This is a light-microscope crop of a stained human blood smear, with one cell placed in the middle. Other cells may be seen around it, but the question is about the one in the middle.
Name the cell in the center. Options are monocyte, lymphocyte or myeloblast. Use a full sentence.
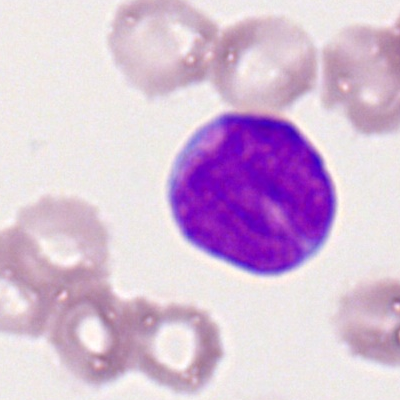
The cell occupying the middle of the crop is a myeloblast.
